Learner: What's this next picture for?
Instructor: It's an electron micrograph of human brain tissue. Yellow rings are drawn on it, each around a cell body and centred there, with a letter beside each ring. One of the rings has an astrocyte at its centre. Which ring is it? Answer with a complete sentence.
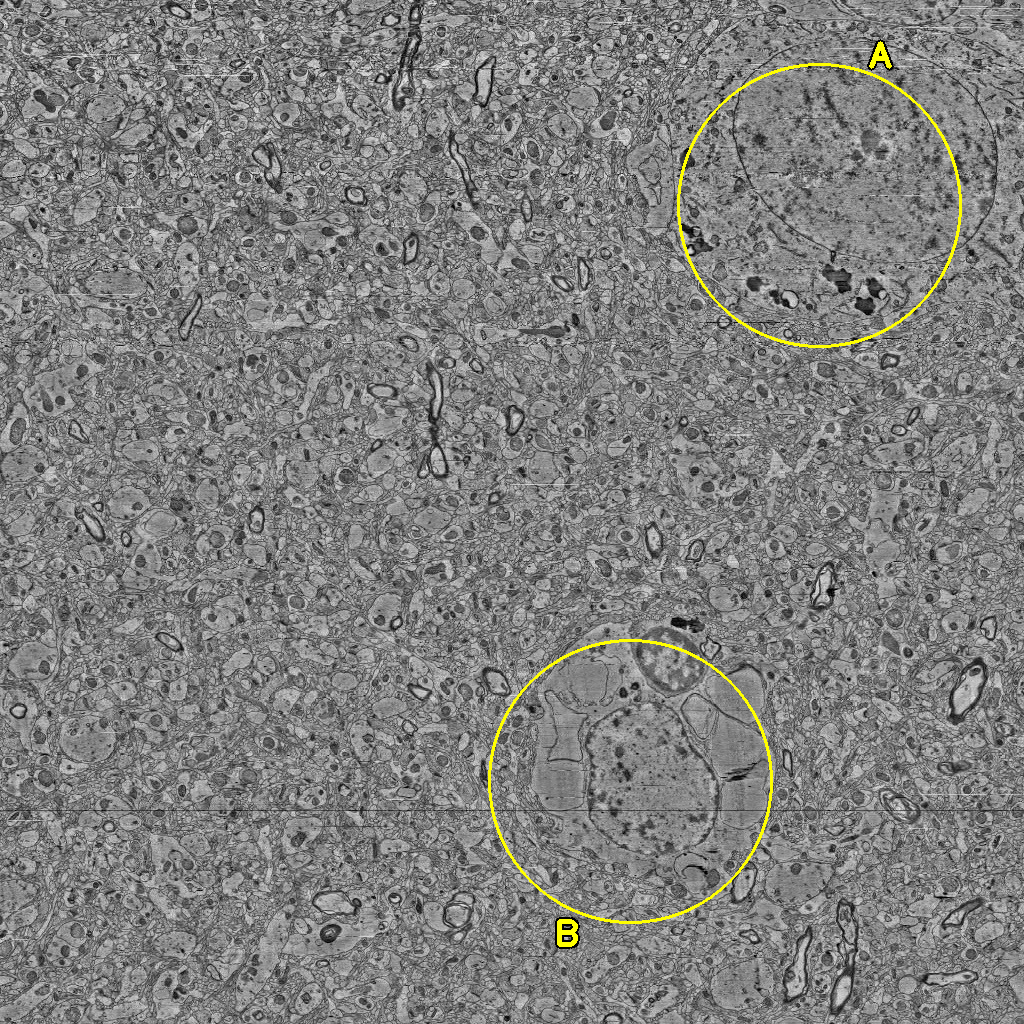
Ring B is centred on it.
